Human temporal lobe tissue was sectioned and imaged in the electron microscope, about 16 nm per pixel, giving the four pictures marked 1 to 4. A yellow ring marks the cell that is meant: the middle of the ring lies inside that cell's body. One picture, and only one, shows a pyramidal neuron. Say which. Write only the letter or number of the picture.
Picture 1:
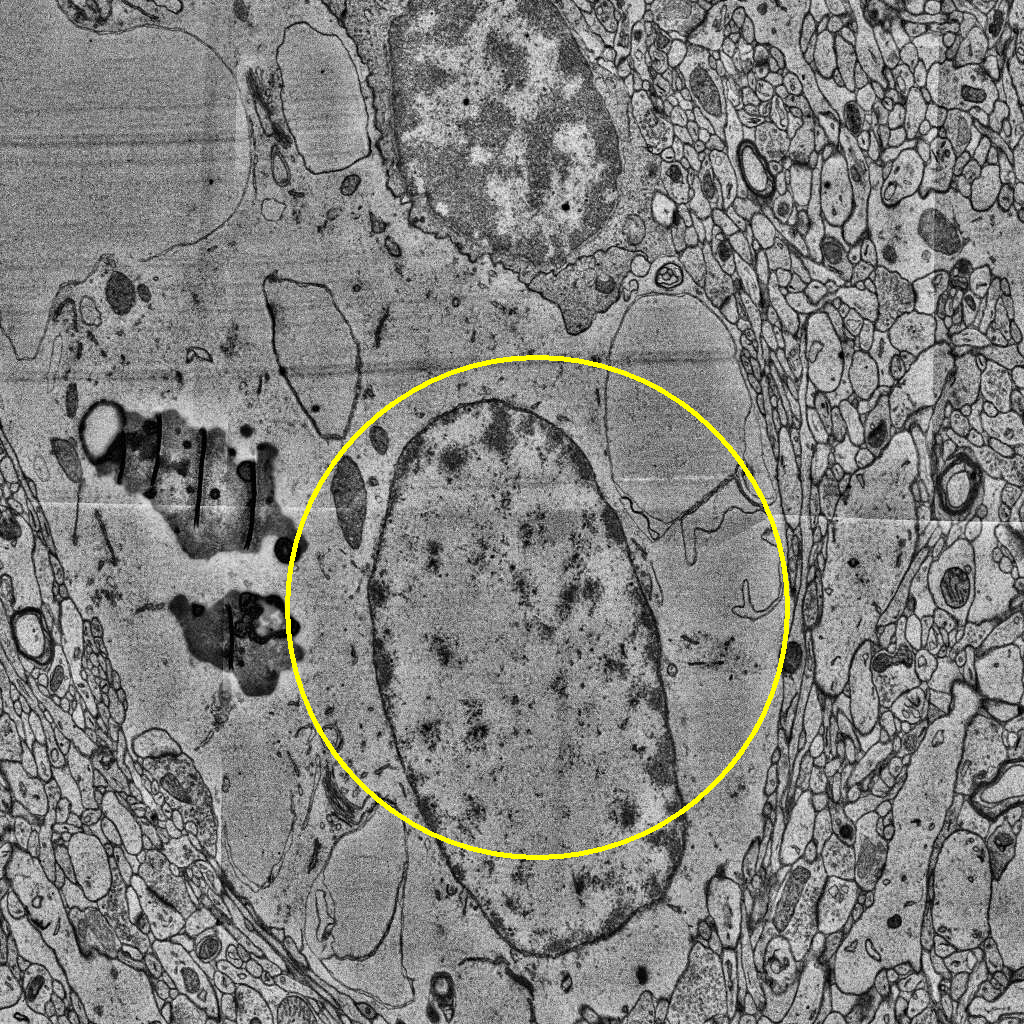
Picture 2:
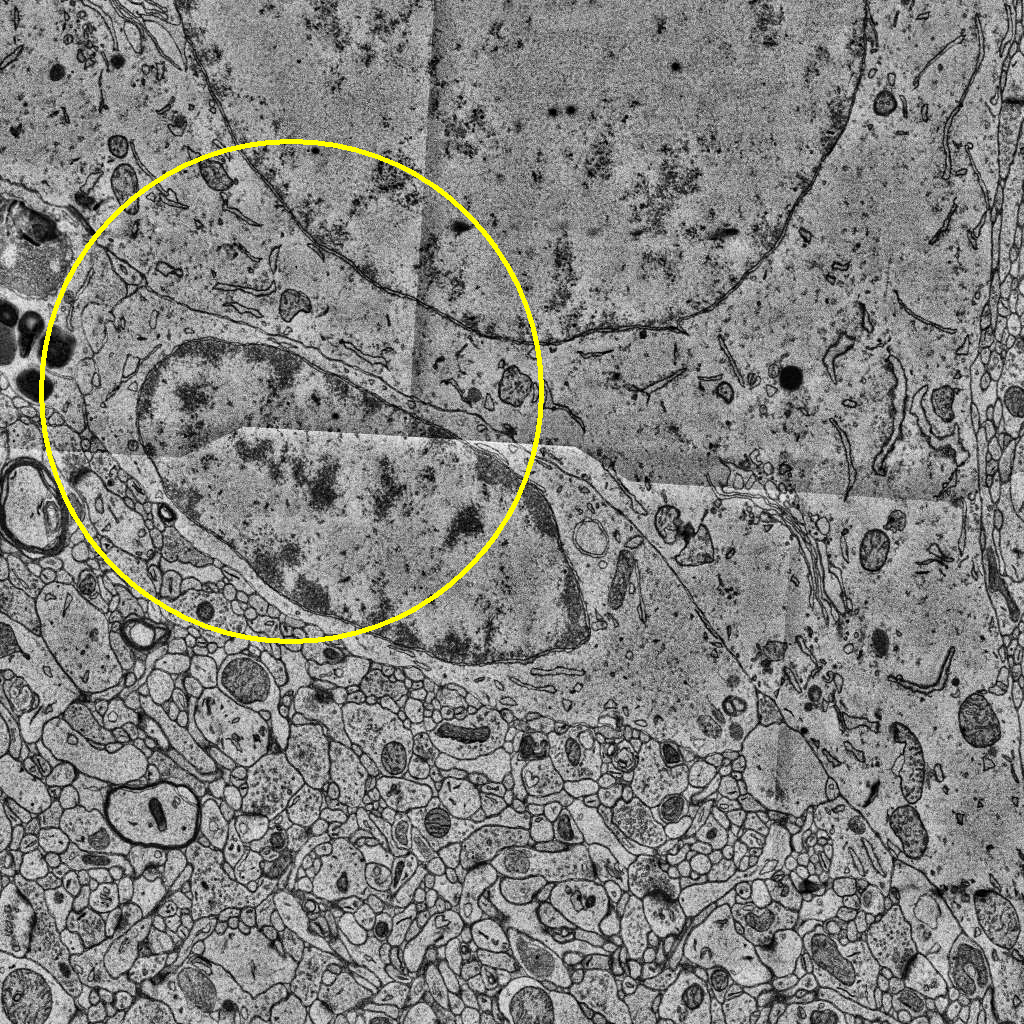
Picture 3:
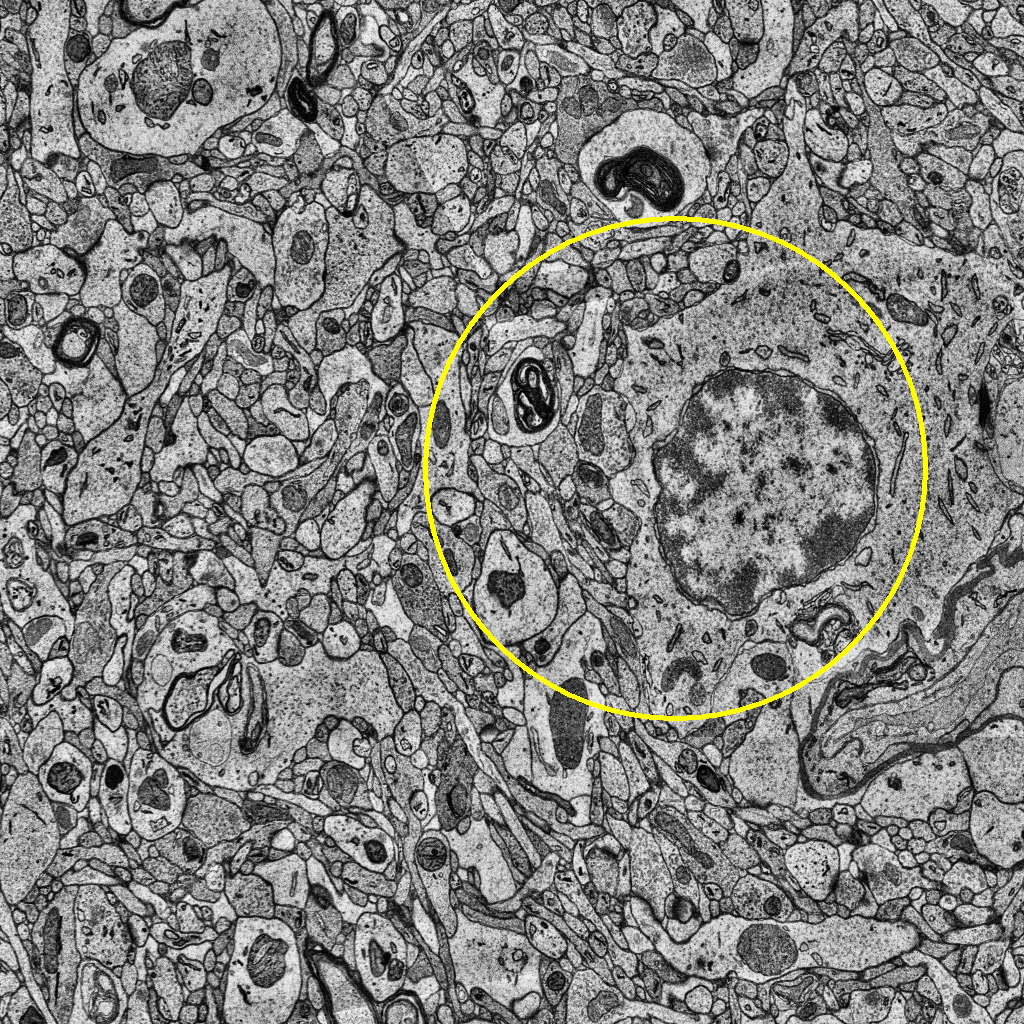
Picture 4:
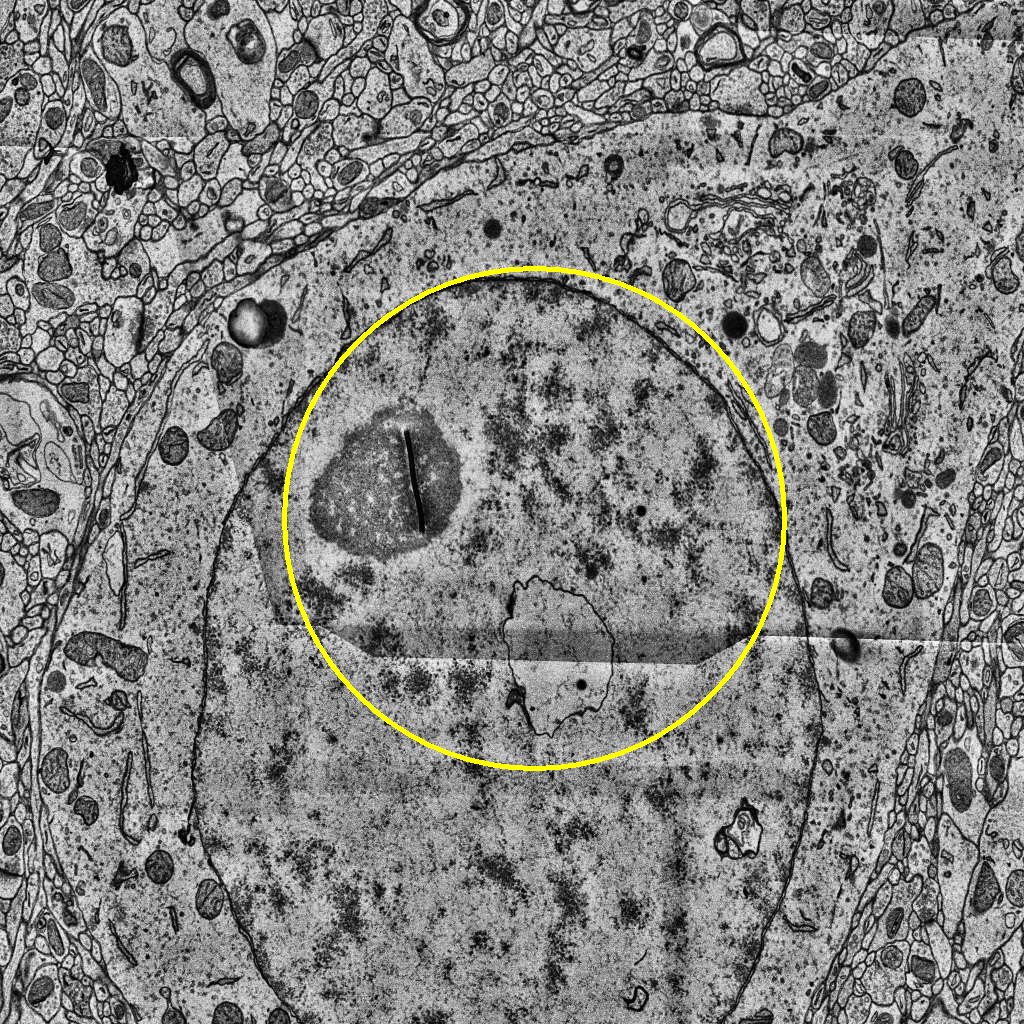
4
